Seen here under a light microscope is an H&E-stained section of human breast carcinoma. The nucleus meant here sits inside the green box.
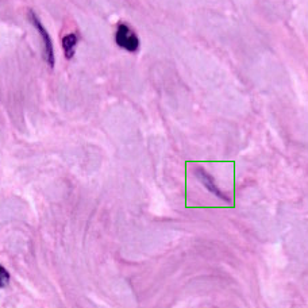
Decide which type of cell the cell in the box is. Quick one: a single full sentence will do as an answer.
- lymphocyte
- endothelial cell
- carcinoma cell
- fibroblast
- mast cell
In this field of tissue, the cell in the box is a fibroblast.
